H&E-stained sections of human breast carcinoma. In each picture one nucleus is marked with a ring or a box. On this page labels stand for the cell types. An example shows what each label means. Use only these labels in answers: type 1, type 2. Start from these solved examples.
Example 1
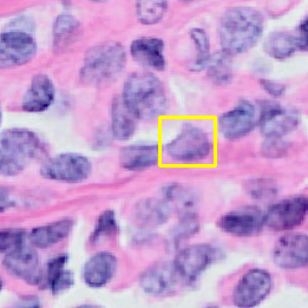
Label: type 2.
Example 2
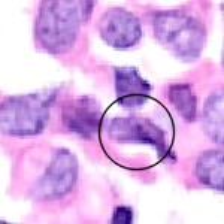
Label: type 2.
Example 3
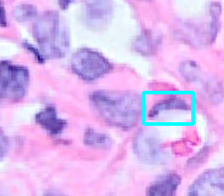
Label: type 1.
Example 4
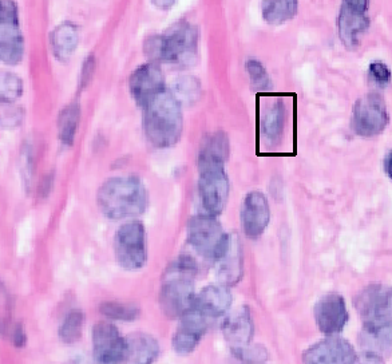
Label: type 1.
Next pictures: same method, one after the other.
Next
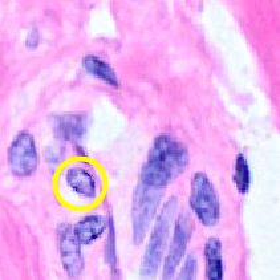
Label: type 1.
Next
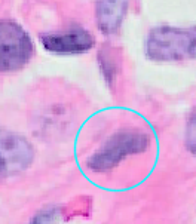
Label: type 1.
